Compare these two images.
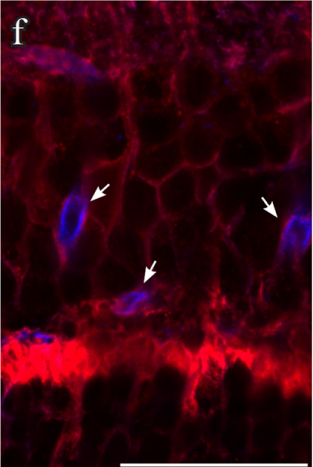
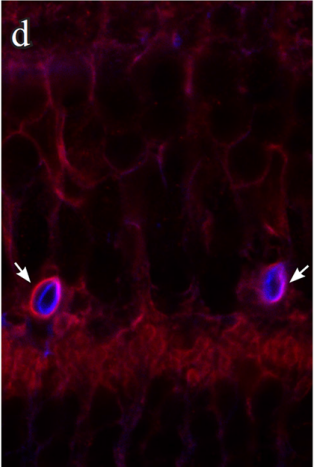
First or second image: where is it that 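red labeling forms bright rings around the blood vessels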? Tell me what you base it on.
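The second image. First image: blue vessel profiles show little or no red ring around them. Second image: blue vessel profiles are encircled by a bright red ring.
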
